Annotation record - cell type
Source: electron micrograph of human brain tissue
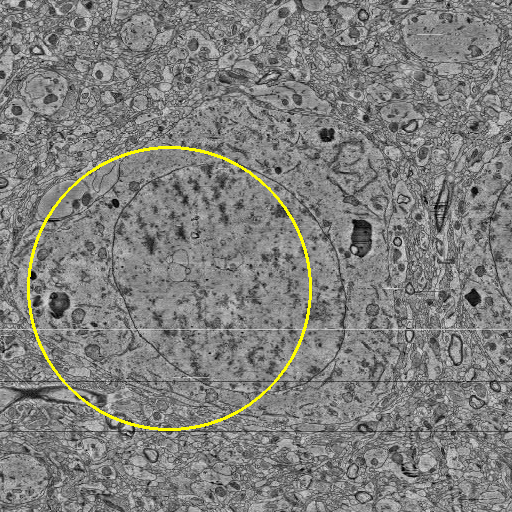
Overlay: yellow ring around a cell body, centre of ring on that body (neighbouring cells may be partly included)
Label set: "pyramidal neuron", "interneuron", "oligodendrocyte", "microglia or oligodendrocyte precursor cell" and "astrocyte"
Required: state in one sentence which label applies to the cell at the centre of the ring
This cell should be labelled as a pyramidal neuron.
